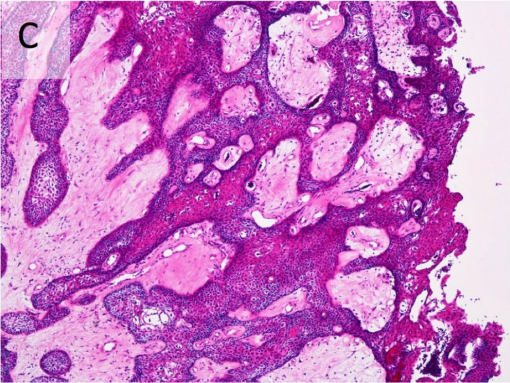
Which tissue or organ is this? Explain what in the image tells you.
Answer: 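Stratified layers of purple-staining epithelial cells. No layered keratin lamellae on the epithelial surface. That points to this answer: non-keratinizing squamous epithelium.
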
